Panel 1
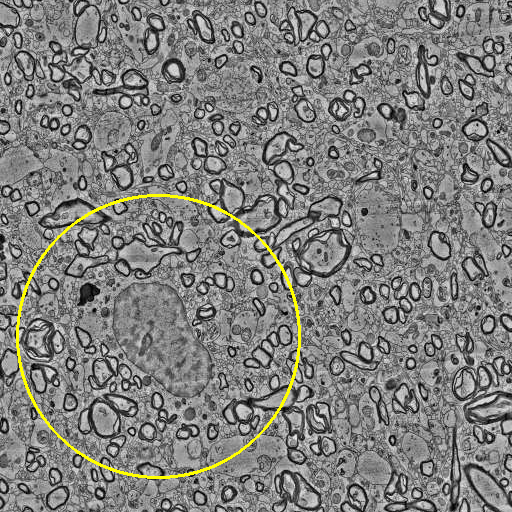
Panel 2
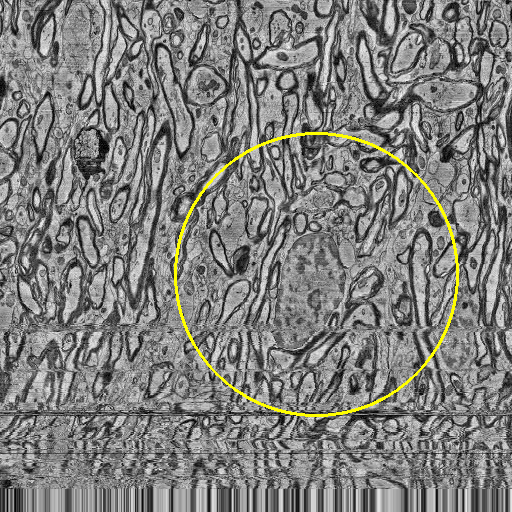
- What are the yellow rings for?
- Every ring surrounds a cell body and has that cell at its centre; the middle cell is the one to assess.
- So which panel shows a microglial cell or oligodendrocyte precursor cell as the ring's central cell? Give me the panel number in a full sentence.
The panel whose ring is centred on the cell in question is panel 2.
